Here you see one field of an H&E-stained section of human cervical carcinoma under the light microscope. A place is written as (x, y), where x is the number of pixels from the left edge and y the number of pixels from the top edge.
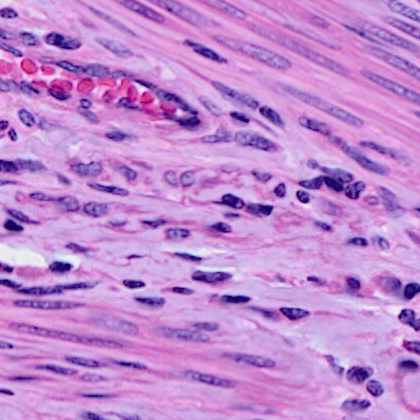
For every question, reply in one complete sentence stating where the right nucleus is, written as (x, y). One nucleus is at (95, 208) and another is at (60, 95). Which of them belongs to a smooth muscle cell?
Answering which nucleus it is: the one at (95, 208), belonging to a smooth muscle cell.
